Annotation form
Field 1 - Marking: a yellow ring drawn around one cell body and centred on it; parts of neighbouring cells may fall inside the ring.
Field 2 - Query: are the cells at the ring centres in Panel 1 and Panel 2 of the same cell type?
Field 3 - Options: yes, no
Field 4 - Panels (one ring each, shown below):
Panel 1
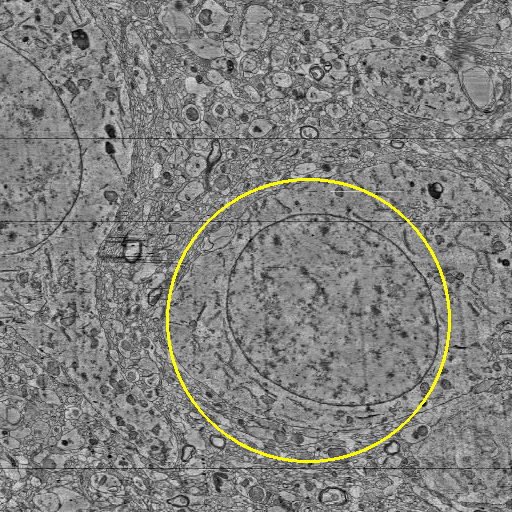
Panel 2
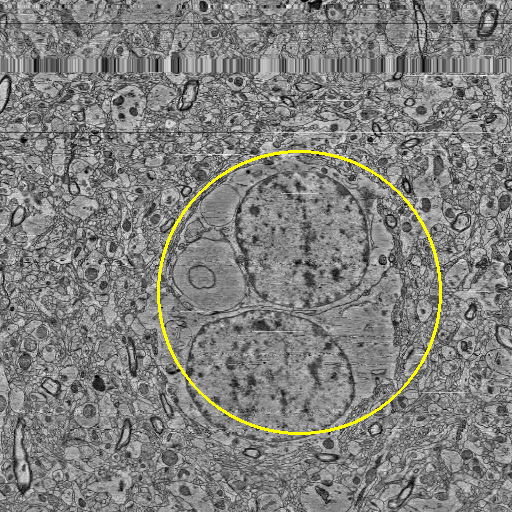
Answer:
no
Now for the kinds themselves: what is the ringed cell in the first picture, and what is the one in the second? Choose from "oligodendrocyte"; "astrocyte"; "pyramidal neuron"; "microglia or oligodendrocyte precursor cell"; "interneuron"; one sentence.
Here the first cell is a pyramidal neuron and the second cell is an astrocyte.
